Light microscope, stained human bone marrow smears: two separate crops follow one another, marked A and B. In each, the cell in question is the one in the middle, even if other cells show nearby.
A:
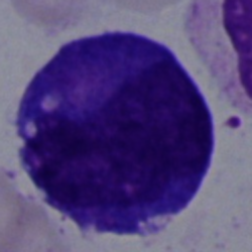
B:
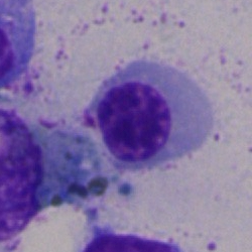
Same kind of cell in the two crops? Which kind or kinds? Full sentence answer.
No, look again: crop A shows a blast, and crop B shows an erythroblast.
